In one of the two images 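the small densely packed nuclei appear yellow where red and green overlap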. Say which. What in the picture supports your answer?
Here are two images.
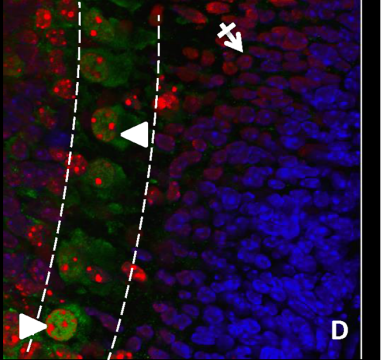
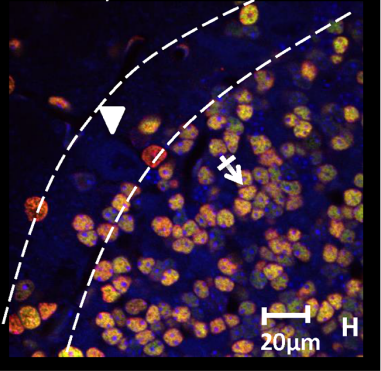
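Second image: many small round nuclei glow yellow-orange. That points to this answer: the second image.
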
